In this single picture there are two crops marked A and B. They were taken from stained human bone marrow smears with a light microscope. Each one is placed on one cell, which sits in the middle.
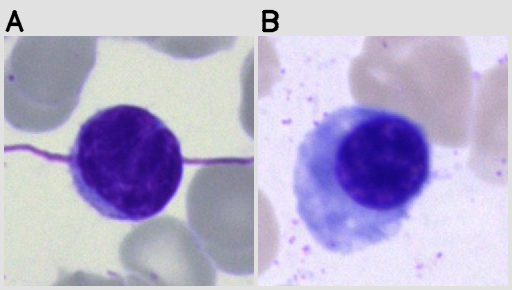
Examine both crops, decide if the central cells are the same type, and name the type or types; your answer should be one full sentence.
No, crop A gives us a lymphocyte and crop B gives us an erythroblast.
